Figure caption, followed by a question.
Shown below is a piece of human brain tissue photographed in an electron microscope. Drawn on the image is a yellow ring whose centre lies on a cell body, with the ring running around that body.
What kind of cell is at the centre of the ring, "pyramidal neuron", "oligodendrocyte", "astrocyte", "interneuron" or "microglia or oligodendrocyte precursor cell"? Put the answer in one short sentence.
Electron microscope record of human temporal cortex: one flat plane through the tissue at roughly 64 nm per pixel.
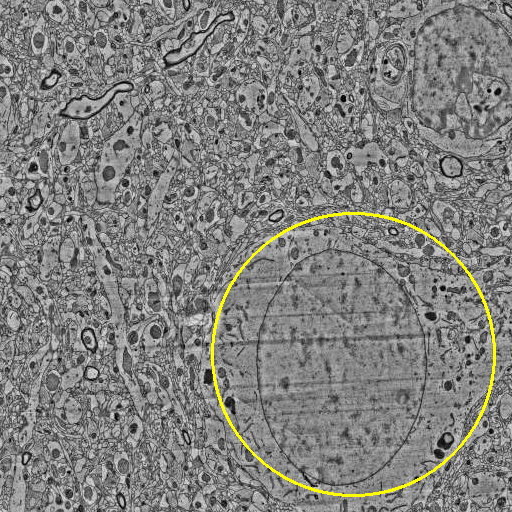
The ring marks the cell body of a pyramidal neuron.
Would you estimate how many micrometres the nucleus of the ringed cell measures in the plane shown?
The nucleus appears roughly 15 by 11 micrometres in this plane.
